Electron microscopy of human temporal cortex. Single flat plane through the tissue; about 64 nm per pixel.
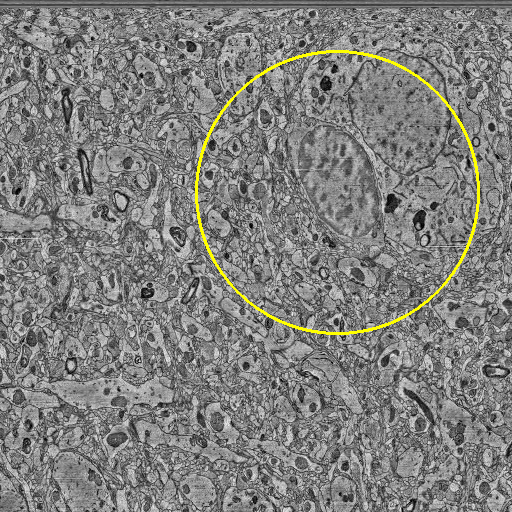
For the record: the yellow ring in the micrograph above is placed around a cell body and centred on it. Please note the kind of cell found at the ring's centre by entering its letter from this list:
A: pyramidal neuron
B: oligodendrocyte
B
